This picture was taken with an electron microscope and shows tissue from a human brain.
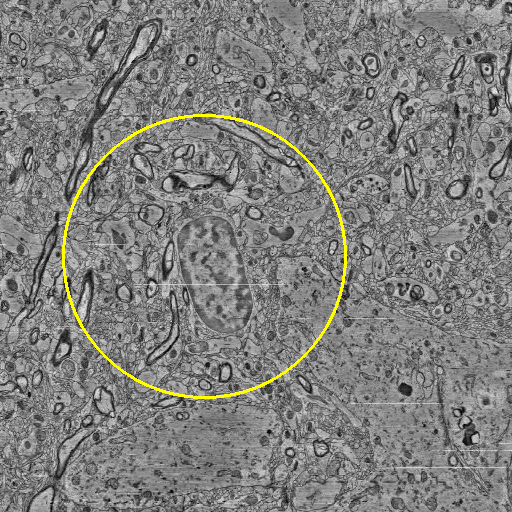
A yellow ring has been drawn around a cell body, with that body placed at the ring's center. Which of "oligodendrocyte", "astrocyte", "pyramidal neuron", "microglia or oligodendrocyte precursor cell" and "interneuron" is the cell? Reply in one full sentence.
In this picture, a microglial cell or oligodendrocyte precursor cell is the cell at the center of the yellow ring.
